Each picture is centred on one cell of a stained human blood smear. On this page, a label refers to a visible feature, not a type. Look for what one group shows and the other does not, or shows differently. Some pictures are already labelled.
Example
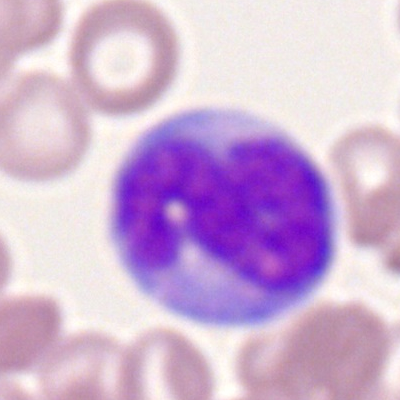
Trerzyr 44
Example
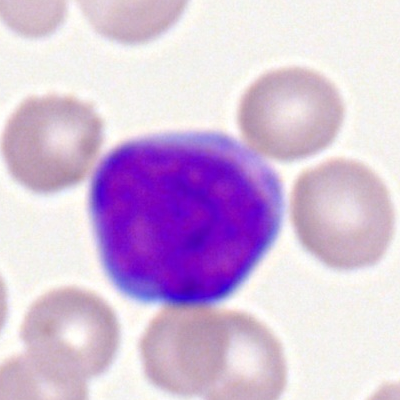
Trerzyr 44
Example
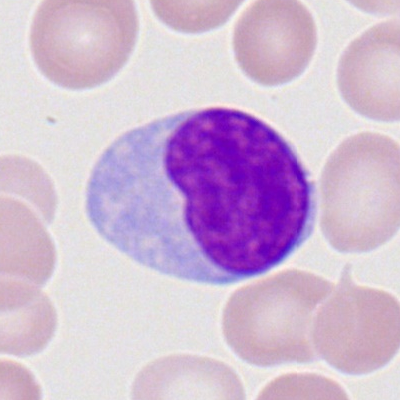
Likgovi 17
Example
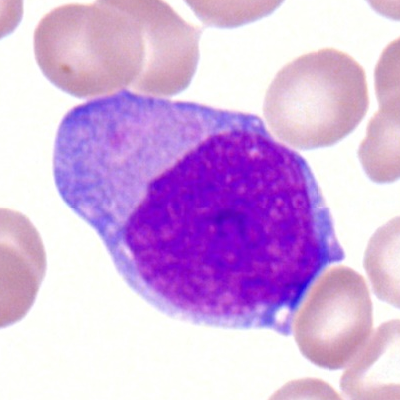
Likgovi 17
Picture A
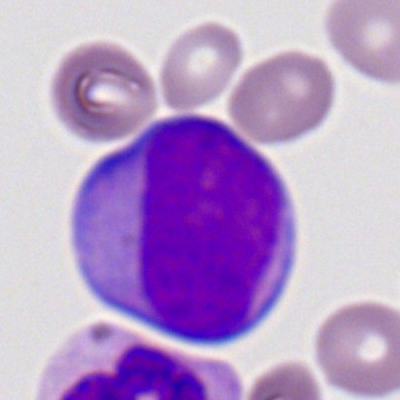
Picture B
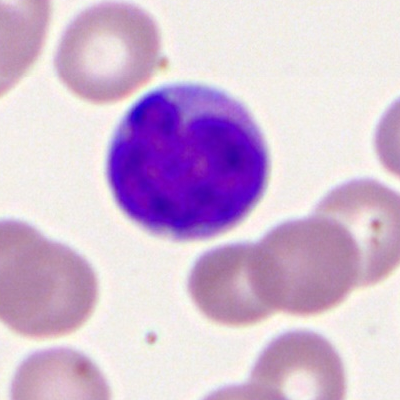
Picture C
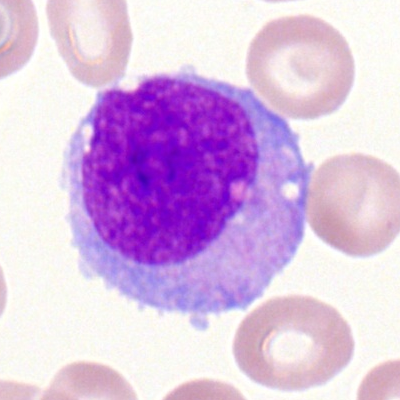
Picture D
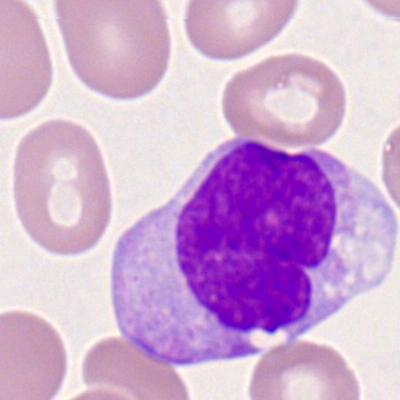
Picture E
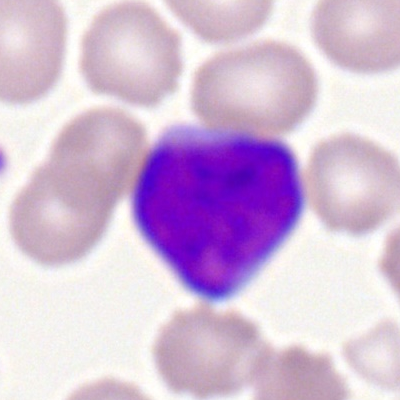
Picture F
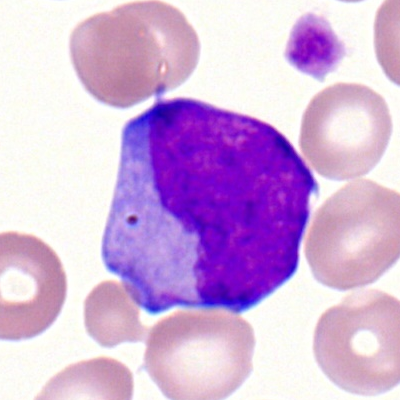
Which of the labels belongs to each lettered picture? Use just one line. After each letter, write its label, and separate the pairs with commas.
A Likgovi 17, B Trerzyr 44, C Likgovi 17, D Likgovi 17, E Trerzyr 44, F Likgovi 17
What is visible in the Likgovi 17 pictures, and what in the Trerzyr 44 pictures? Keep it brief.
In Likgovi 17: abundant cytoplasm. In Trerzyr 44: scant cytoplasm.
